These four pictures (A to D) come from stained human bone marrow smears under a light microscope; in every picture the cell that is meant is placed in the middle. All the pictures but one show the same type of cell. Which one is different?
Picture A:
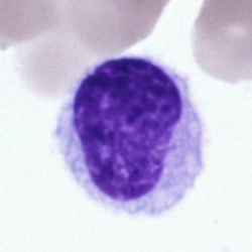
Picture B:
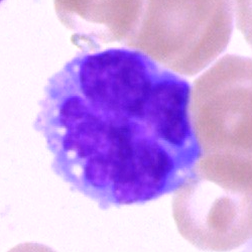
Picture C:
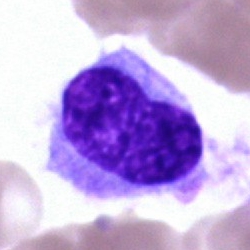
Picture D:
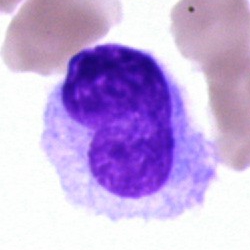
B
